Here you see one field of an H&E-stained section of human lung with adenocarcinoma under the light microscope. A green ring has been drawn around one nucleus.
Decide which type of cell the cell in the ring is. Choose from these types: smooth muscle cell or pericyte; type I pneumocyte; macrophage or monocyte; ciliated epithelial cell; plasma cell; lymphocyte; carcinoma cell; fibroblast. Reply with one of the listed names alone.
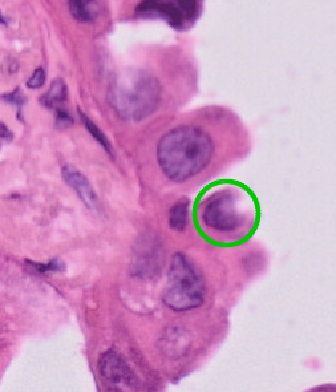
carcinoma cell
